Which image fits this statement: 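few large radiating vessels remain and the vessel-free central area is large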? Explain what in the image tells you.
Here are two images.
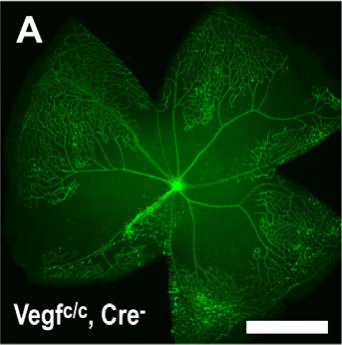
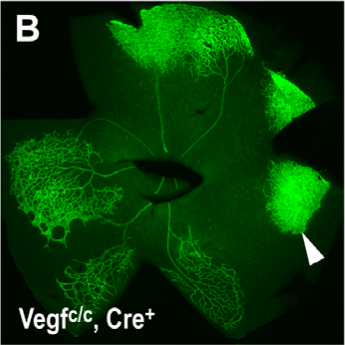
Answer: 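The second image. Second image: only a few large vessels reach out from the centre, and wide central areas lack green vessels. First image: many large vessels radiate from the centre, and vessel-free zones are smaller.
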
